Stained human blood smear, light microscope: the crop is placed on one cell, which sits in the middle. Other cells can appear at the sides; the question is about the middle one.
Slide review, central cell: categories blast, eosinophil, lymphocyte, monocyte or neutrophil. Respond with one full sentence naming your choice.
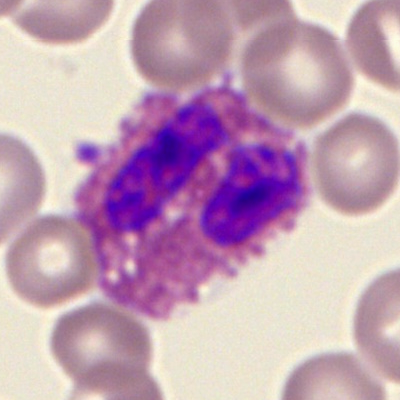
Classification of the middle cell gives an eosinophil.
